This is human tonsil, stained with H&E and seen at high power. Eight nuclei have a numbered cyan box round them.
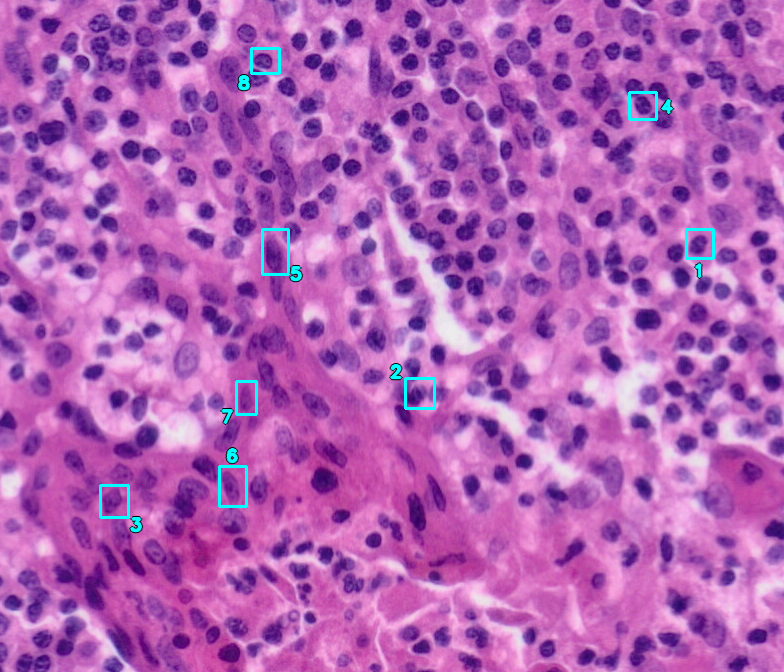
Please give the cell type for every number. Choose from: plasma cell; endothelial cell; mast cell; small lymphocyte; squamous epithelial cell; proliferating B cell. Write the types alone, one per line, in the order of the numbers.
plasma cell
squamous epithelial cell
squamous epithelial cell
plasma cell
squamous epithelial cell
squamous epithelial cell
squamous epithelial cell
plasma cell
